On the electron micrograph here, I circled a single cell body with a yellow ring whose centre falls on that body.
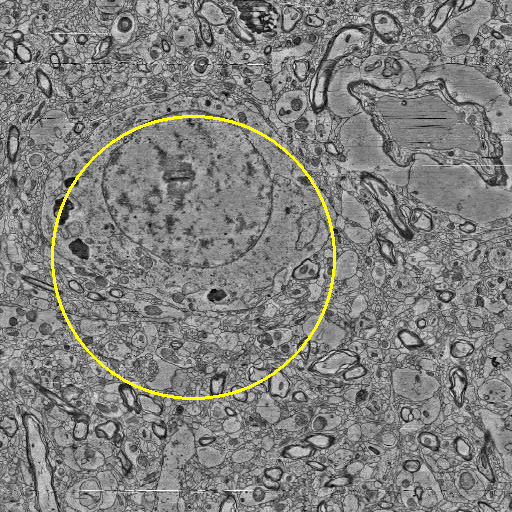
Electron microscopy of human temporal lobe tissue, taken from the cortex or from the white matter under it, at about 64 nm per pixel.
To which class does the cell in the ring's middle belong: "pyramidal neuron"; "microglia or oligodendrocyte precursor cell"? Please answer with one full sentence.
In this picture, the cell body circled at the ring's centre belongs to a pyramidal neuron.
